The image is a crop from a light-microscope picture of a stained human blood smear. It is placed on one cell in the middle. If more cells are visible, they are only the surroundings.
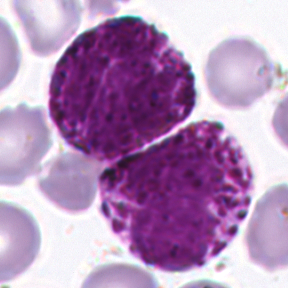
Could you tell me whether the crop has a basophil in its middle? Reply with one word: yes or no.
yes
